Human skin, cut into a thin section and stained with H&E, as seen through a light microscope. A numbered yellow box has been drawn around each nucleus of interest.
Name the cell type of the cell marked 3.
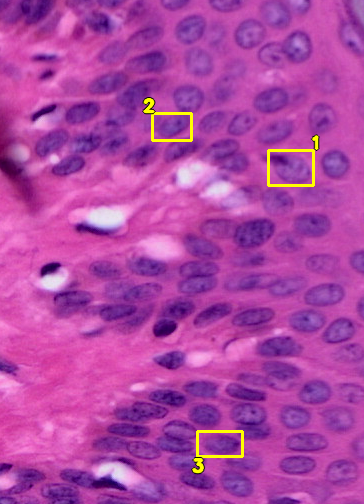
suprabasal keratinocyte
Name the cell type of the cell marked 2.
basal keratinocyte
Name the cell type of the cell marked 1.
suprabasal keratinocyte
